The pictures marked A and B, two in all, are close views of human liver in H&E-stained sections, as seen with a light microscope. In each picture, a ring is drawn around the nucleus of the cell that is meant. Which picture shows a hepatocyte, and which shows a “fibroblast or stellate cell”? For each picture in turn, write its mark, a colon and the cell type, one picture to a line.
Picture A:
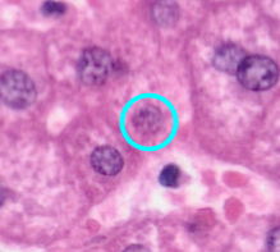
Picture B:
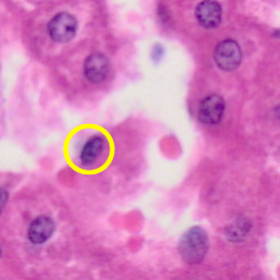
A: hepatocyte
B: fibroblast or stellate cell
